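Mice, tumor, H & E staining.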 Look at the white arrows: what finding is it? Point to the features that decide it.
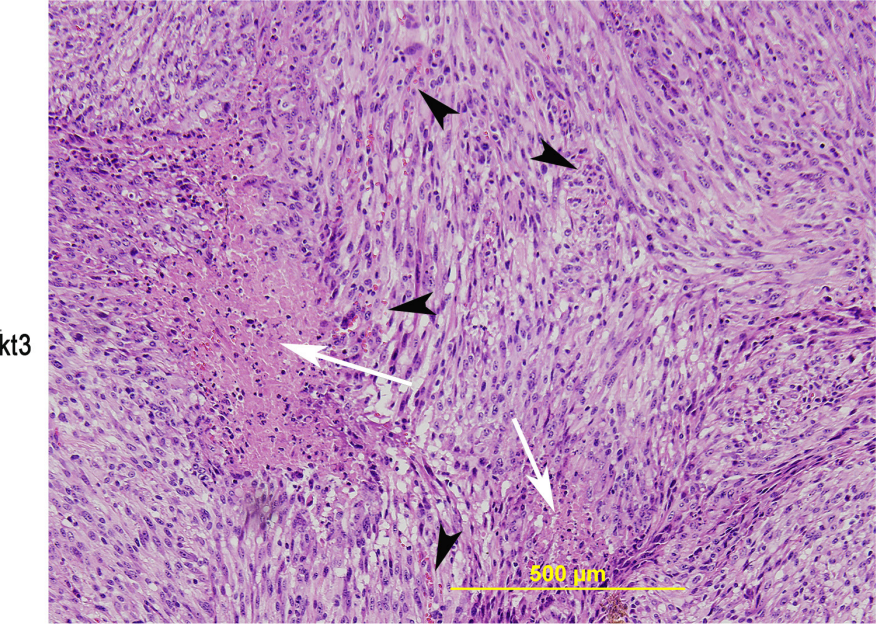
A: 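The white arrows point into pale pink areas that hold fewer, scattered nuclei. Densely packed elongated cells surround these pale areas. On this evidence: palisading around necrotic foci.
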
